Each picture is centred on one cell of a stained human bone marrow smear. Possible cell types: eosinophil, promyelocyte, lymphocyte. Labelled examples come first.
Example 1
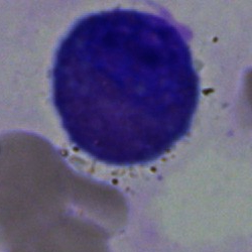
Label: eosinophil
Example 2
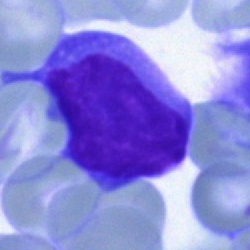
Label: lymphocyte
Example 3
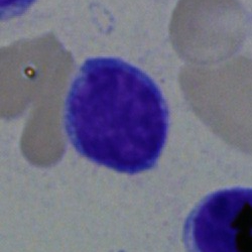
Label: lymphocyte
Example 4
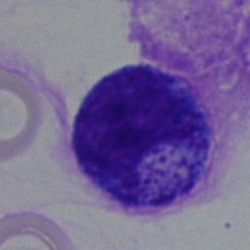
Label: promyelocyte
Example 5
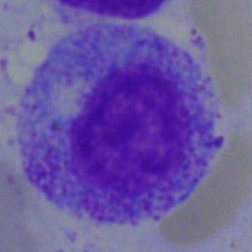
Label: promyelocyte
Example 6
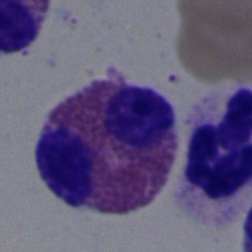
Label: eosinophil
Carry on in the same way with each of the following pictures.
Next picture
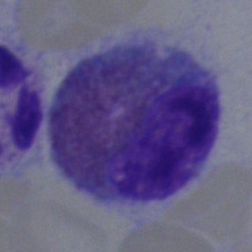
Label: eosinophil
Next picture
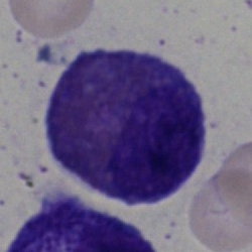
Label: eosinophil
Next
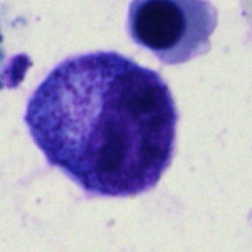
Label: promyelocyte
